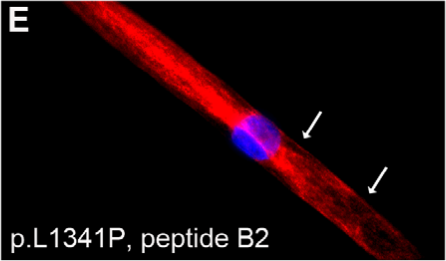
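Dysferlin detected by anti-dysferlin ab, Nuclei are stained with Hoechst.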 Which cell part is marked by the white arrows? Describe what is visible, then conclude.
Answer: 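The arrows point to the outer edge of a long tubular cell. Red staining runs along the cell's border.
Sarcolemmal sites.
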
